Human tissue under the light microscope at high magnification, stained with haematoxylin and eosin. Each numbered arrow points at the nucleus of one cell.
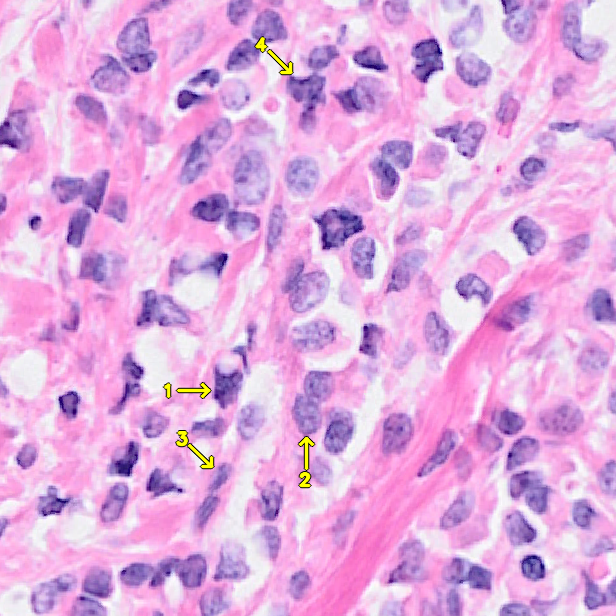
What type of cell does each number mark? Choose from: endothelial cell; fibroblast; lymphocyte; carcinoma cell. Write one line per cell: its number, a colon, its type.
1: carcinoma cell
2: carcinoma cell
3: endothelial cell
4: carcinoma cell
